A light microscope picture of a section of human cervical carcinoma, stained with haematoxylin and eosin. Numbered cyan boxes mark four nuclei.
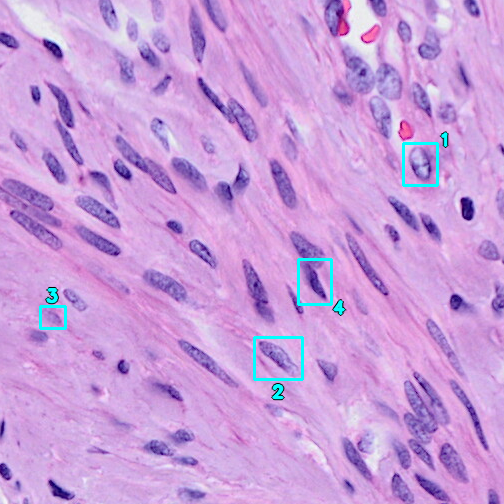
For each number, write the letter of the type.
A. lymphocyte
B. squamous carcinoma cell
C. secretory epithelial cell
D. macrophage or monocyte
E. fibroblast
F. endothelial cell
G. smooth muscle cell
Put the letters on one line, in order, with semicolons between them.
F; G; G; E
